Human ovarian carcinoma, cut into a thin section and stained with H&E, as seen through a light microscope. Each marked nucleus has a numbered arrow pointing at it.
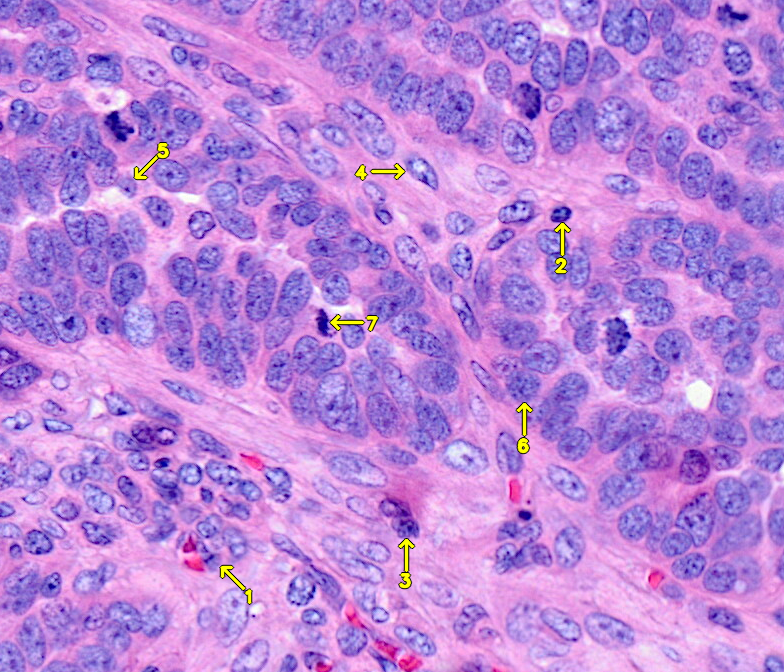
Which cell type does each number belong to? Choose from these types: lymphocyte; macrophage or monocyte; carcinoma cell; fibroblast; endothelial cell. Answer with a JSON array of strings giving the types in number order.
["endothelial cell", "lymphocyte", "lymphocyte", "fibroblast", "macrophage or monocyte", "carcinoma cell", "carcinoma cell"]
